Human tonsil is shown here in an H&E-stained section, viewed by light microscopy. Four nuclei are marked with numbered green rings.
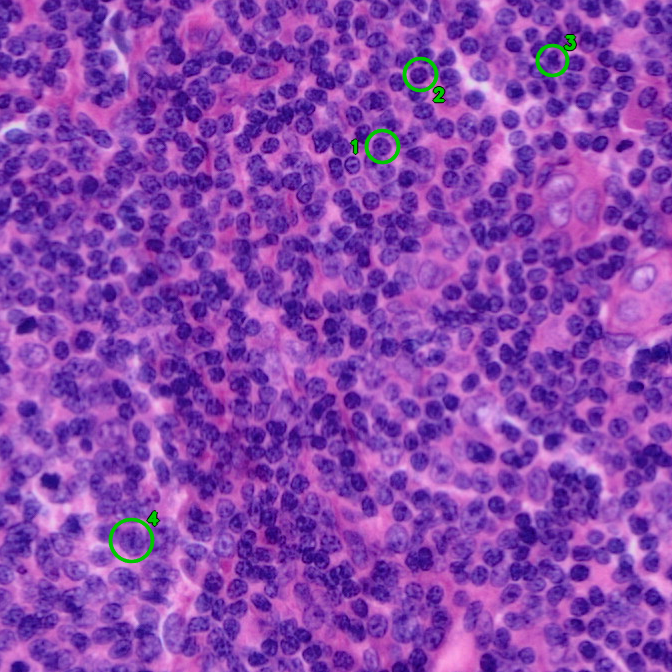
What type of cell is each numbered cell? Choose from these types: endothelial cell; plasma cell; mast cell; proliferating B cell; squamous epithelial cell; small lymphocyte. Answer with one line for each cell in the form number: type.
1: small lymphocyte
2: small lymphocyte
3: small lymphocyte
4: proliferating B cell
